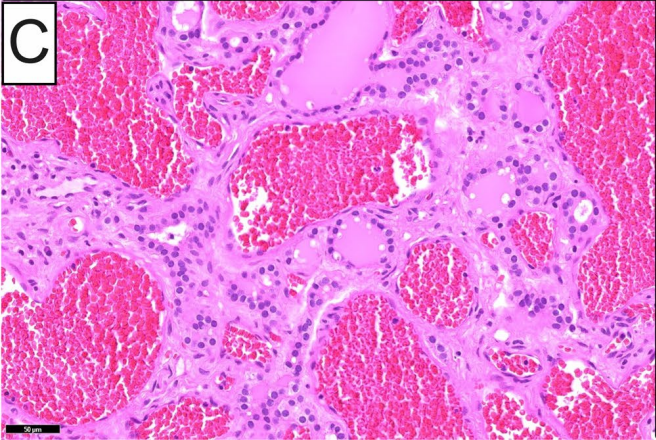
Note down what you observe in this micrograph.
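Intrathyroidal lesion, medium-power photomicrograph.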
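Thyroid tissue with small follicles trapped among large, thin-walled spaces filled with red blood cells. The follicles are round, lined by a single layer of cuboidal cells with round, dark nuclei, and contain pale pink colloid. The follicles lie in small clusters within these septa between the vascular spaces.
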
